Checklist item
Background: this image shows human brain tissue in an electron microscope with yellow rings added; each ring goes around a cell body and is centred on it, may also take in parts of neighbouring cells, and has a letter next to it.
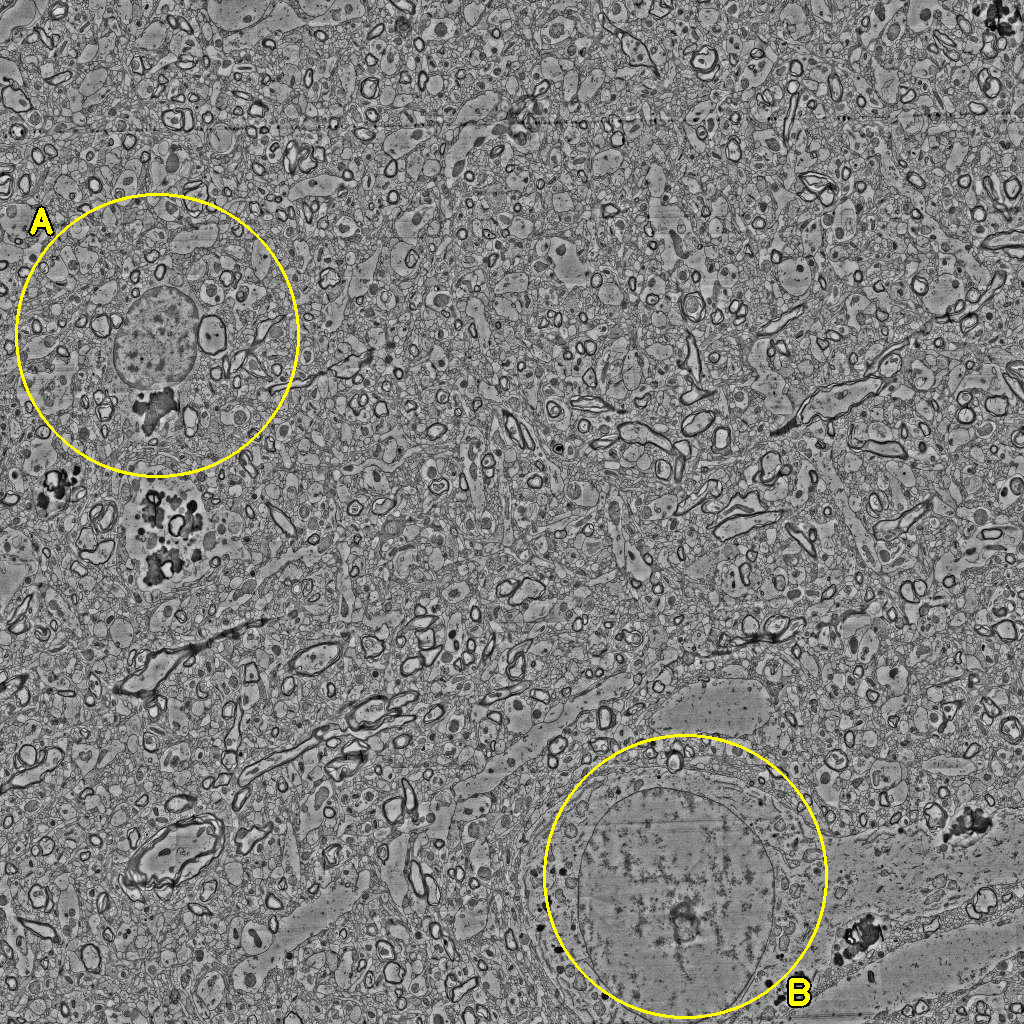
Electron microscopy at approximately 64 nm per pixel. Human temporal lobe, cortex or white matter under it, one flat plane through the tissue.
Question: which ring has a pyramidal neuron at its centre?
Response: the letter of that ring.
B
